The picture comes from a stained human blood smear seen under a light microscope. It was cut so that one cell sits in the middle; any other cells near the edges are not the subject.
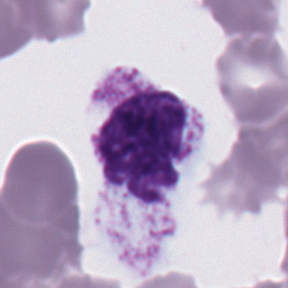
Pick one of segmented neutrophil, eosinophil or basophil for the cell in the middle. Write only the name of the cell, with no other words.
basophil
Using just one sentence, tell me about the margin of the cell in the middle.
Smoothness is lacking at the edge, which is ragged in places or drawn into projections.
